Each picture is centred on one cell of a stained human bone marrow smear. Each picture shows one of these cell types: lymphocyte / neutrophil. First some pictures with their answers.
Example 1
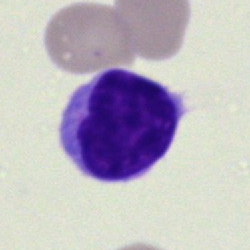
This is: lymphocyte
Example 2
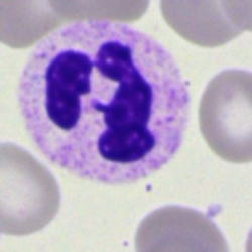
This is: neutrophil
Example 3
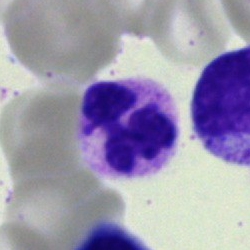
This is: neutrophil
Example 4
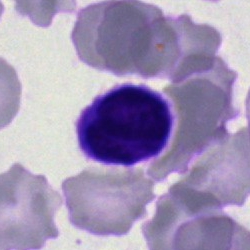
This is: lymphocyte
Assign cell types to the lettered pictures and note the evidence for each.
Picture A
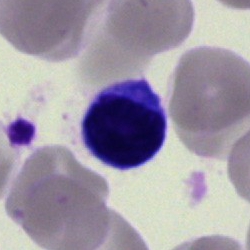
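lymphocyte. Evidence: The cytoplasm is very scant, showing only as a narrow paler blue band at the top edge.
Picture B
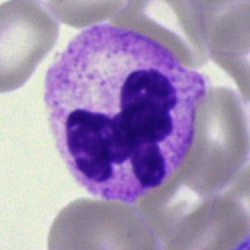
neutrophil. Evidence: Fine purple granules are scattered throughout the cytoplasm.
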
